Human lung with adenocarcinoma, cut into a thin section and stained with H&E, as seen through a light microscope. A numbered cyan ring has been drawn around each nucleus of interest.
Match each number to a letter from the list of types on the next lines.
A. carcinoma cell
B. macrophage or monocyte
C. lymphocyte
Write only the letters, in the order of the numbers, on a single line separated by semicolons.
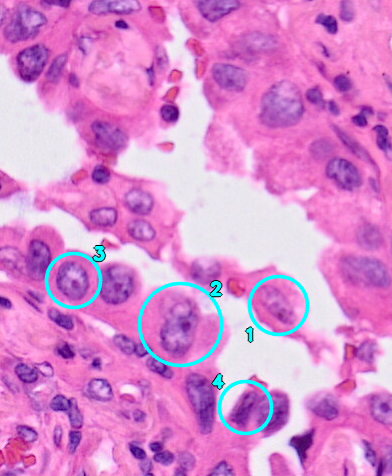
B; A; A; A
